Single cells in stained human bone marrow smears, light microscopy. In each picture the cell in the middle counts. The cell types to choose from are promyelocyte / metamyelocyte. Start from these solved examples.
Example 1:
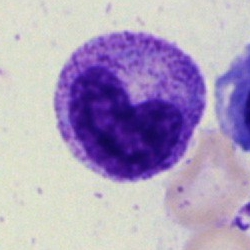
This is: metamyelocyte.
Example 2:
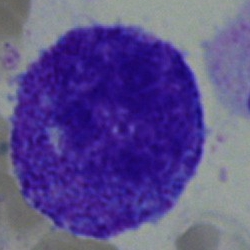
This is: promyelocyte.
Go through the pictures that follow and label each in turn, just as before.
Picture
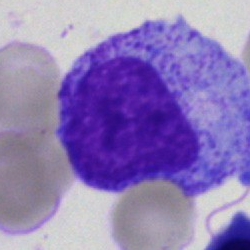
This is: promyelocyte.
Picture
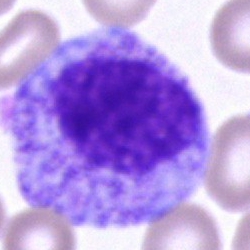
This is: promyelocyte.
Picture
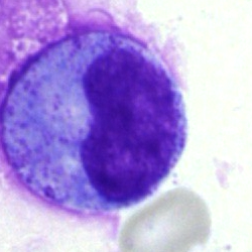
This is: metamyelocyte.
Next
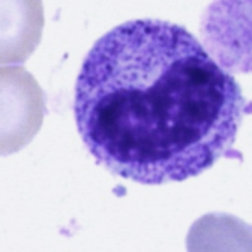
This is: metamyelocyte.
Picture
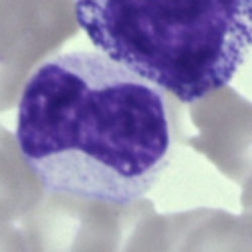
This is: metamyelocyte.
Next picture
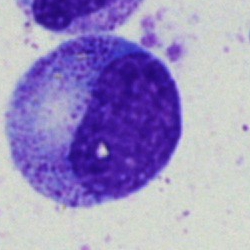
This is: metamyelocyte.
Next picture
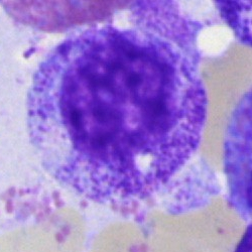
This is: promyelocyte.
